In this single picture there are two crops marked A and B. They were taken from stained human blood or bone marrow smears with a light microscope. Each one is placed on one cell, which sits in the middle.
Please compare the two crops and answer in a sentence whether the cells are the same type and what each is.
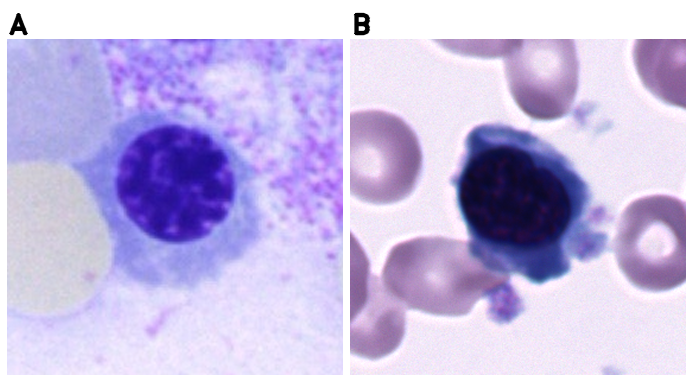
Yes, both crops show erythroblasts in the centre of the field.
